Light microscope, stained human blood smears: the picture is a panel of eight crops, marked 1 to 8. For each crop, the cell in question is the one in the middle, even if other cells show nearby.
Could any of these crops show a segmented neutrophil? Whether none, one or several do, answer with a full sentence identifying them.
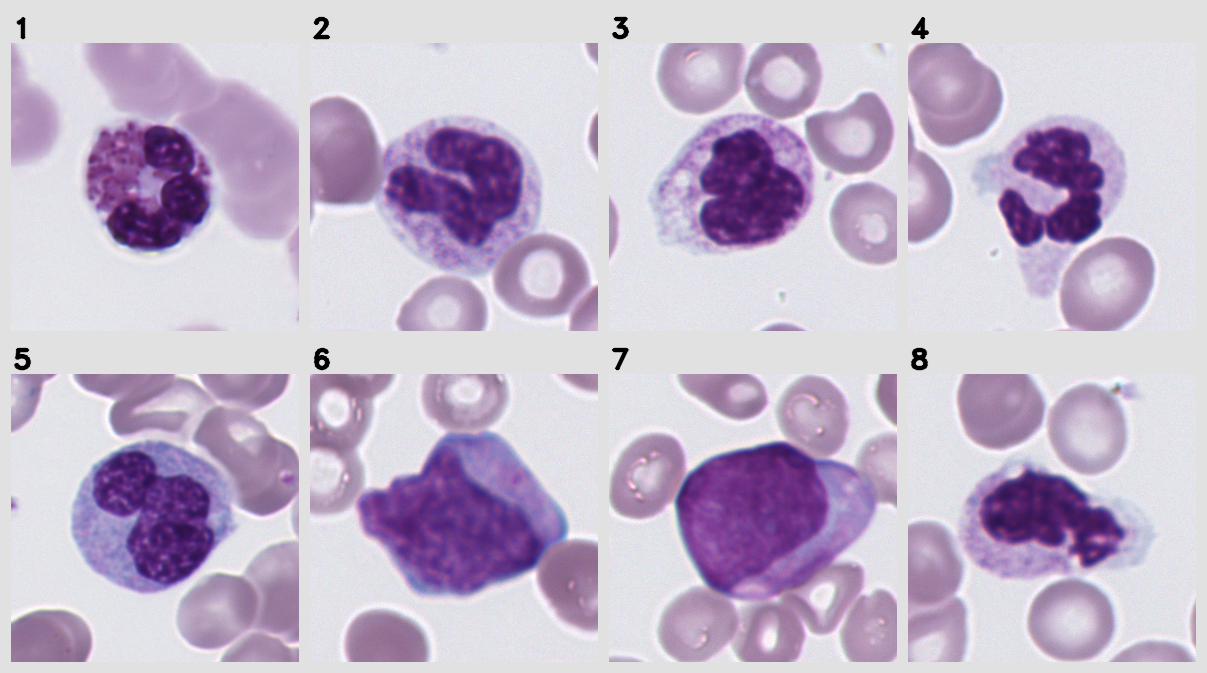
The cells in the middle of crops 2, 3, 4 and 8 count as segmented neutrophils.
